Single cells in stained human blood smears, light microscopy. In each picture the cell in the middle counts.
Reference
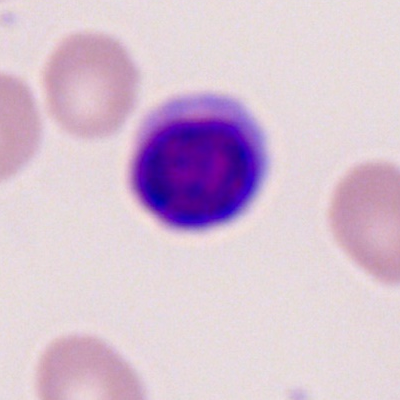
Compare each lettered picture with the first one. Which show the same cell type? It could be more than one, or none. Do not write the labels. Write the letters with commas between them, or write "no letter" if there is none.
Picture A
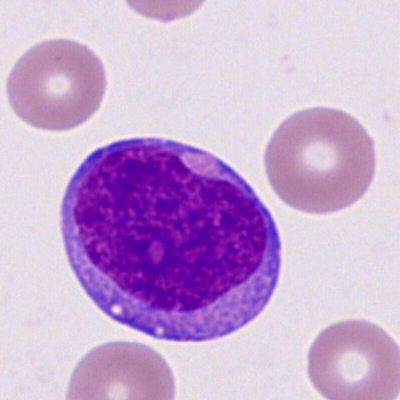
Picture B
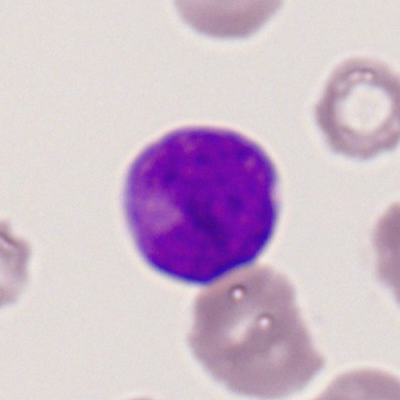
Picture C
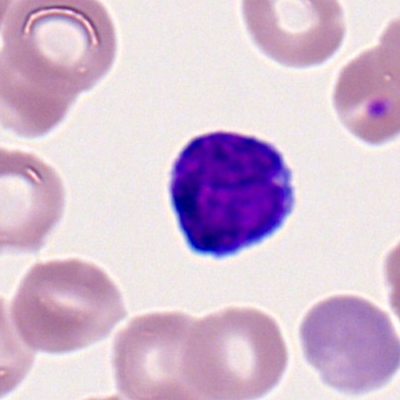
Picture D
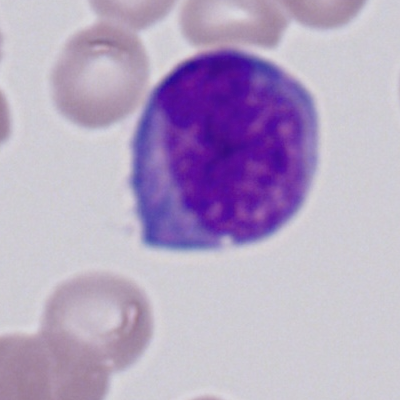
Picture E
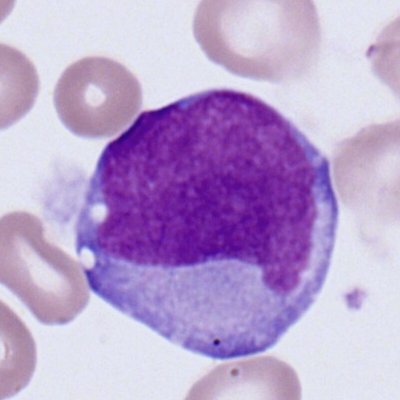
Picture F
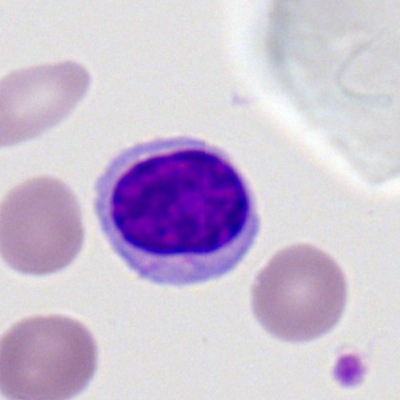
C, F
